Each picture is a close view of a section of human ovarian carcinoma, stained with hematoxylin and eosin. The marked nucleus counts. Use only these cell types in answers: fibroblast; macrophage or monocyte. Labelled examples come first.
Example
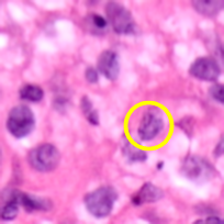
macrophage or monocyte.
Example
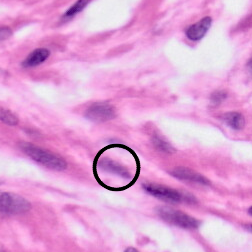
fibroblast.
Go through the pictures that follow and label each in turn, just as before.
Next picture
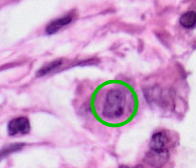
macrophage or monocyte.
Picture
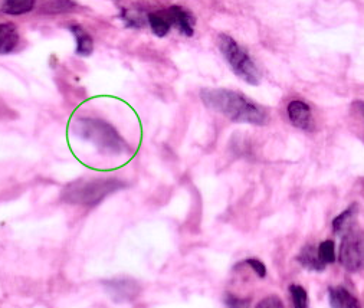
fibroblast.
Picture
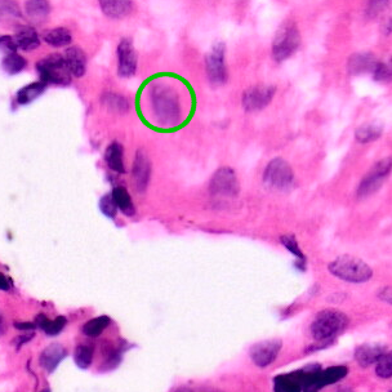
fibroblast.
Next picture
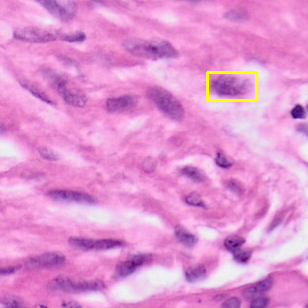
fibroblast.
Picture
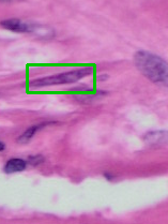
fibroblast.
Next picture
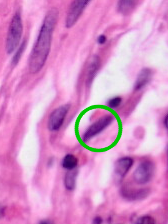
fibroblast.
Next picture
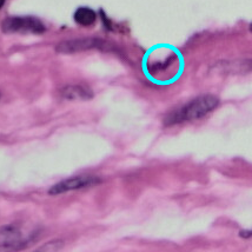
fibroblast.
